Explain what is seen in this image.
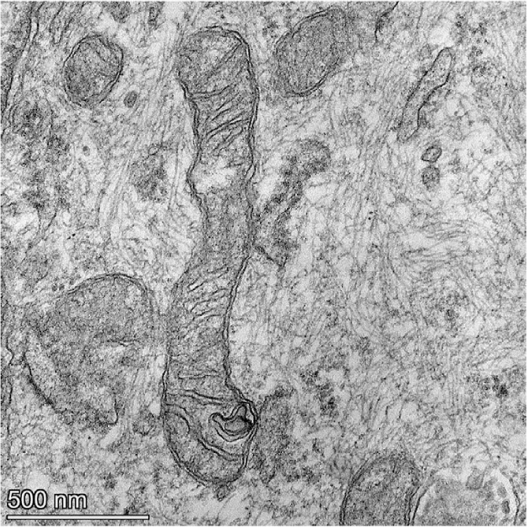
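A single long, slightly curved mitochondrion runs vertically through the centre of the field, bounded by a double membrane. Its inner membrane forms many thin cristae lying mostly across the long axis, and near its lower end the membranes coil into a whorled profile. Several smaller round to oval mitochondria, cut in cross-section, lie around it. The surrounding cytoplasm is filled with bundles of fine filaments running in different directions and scattered dense granules.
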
